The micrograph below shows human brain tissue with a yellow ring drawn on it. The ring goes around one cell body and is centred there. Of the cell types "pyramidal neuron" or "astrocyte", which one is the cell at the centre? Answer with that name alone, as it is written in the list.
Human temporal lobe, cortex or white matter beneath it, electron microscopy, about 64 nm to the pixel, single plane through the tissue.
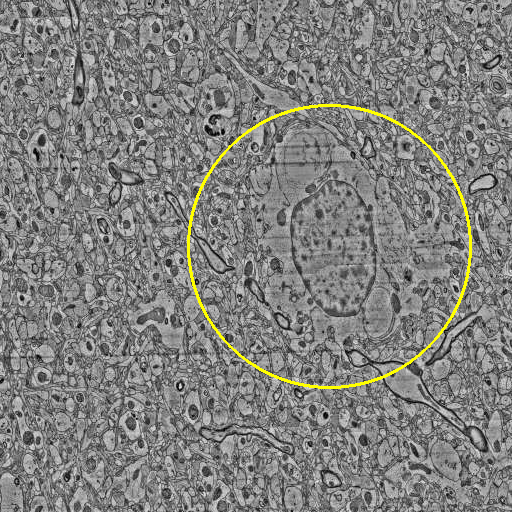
astrocyte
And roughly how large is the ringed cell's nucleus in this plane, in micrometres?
In this plane the nucleus is clearly longer than it is wide, at approximately 9 by 5 micrometres.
